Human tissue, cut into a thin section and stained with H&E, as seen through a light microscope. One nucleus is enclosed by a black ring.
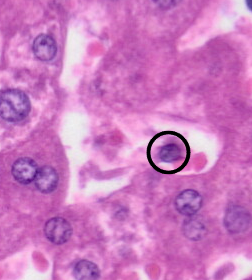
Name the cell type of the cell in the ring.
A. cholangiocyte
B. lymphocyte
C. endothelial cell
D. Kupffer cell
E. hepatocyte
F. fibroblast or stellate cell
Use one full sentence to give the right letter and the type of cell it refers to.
Option D is right, and the cell in the ring is a Kupffer cell.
